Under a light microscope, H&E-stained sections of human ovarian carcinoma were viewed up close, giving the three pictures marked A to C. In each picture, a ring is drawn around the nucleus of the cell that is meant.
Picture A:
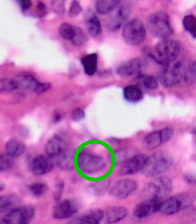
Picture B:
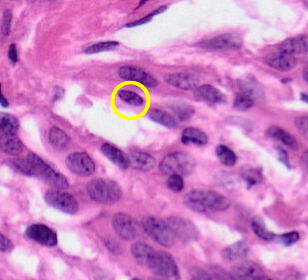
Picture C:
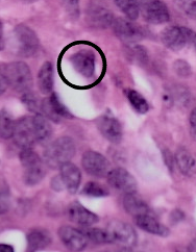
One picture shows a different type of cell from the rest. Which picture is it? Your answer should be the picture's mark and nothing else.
A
